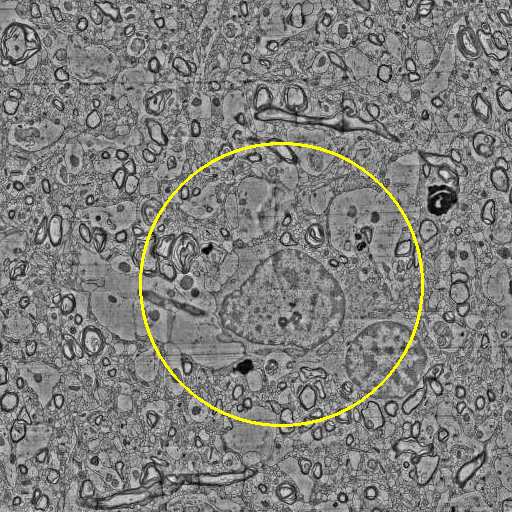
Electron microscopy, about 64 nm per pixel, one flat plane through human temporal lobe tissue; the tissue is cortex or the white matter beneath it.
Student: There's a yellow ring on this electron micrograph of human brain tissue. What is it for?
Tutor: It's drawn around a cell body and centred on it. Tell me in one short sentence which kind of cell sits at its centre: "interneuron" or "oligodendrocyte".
The cell at the centre of the ring is an oligodendrocyte.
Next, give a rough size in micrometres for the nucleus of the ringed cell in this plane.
The nucleus measures about 7 micrometers across in this plane.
